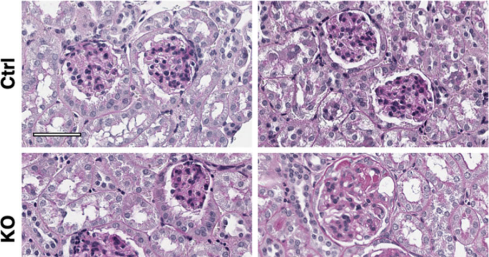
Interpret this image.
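These are sections of renal cortex showing glomeruli amid proximal and distal tubules. Each glomerulus is a rounded tuft of capillary loops with many dark blue-purple nuclei, enclosed by a thin Bowman's capsule with a narrow clear urinary space around it. Around them lie cross-sectioned tubules lined by cuboidal epithelial cells with pink granular cytoplasm and round nuclei. In one of the four fields the glomerular tuft appears paler and more pink, with more matrix and fewer visible nuclei, suggesting matrix expansion compared with the other fields.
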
